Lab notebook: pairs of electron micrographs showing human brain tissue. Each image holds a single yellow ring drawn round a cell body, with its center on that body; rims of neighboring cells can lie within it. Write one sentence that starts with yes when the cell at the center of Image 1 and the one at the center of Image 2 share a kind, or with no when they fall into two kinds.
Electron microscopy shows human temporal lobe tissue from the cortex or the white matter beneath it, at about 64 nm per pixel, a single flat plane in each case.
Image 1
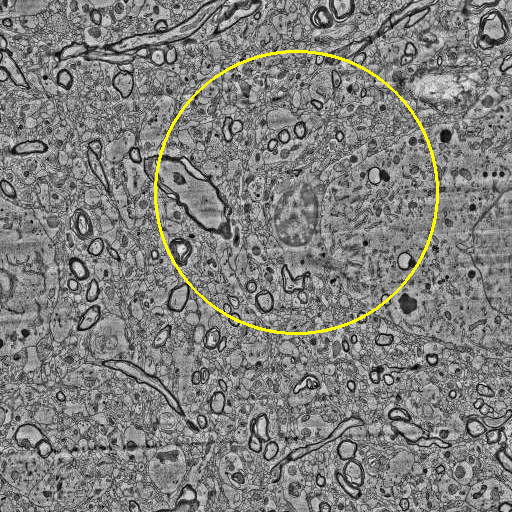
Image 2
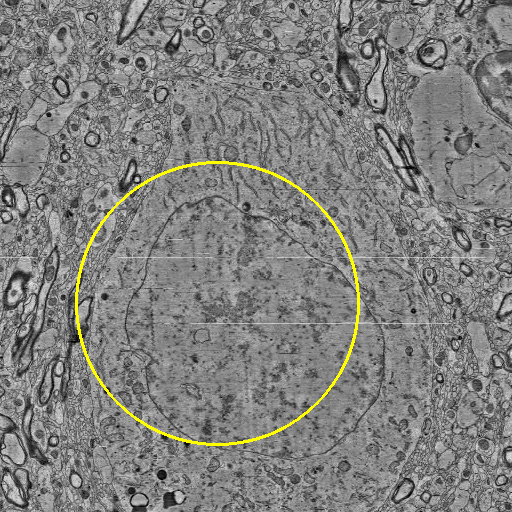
No, the centered cell in Image 1 and the centered cell in Image 2 are of two kinds.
